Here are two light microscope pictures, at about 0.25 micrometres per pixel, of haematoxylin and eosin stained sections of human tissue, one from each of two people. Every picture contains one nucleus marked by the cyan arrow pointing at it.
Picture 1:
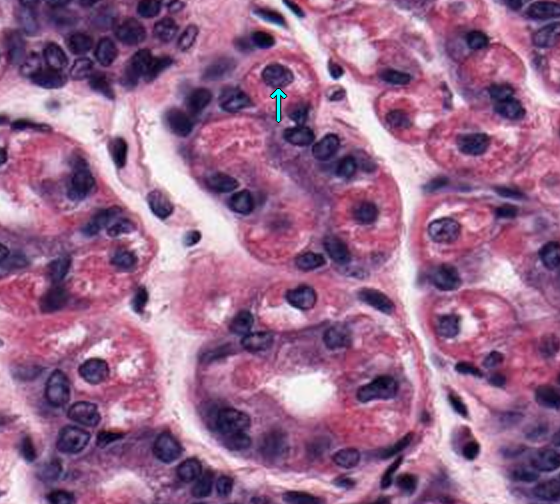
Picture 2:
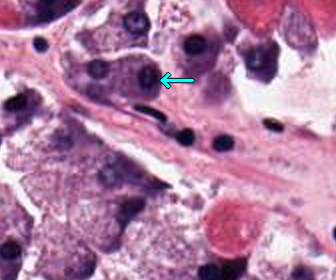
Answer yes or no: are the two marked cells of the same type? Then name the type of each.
No, the first is a parietal cell and the second a chief cell.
